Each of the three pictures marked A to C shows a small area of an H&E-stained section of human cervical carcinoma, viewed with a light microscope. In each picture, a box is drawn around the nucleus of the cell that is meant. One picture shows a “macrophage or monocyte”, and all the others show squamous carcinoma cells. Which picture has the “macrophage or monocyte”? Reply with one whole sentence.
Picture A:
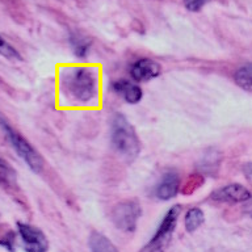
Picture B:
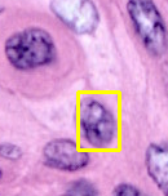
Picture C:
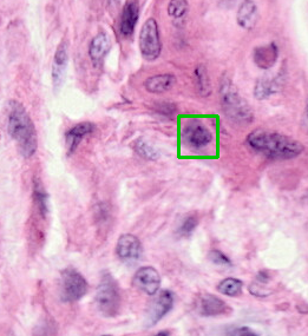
The “macrophage or monocyte” is the one in picture A.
